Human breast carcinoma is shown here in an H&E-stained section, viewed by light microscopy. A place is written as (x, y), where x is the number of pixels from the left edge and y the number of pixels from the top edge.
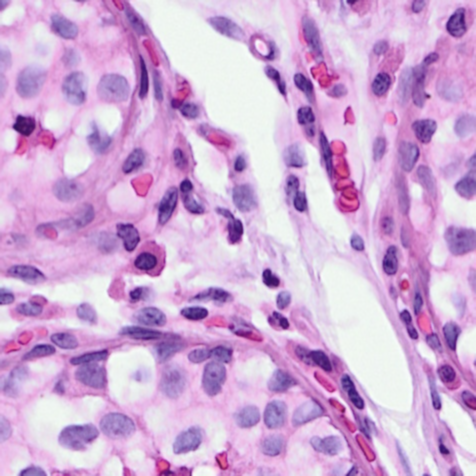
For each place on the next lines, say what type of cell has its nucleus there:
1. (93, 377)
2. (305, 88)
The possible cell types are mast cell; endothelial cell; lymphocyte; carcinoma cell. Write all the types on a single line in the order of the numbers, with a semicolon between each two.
carcinoma cell; endothelial cell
